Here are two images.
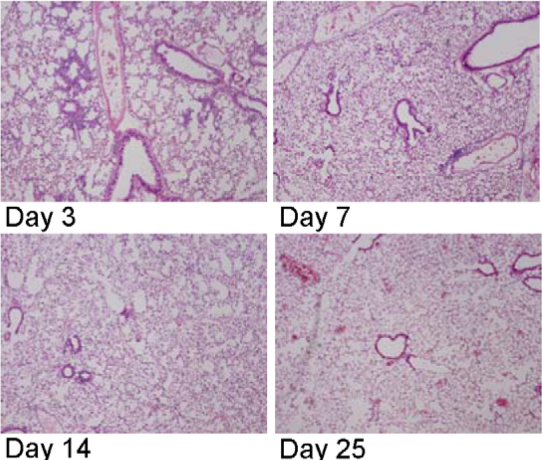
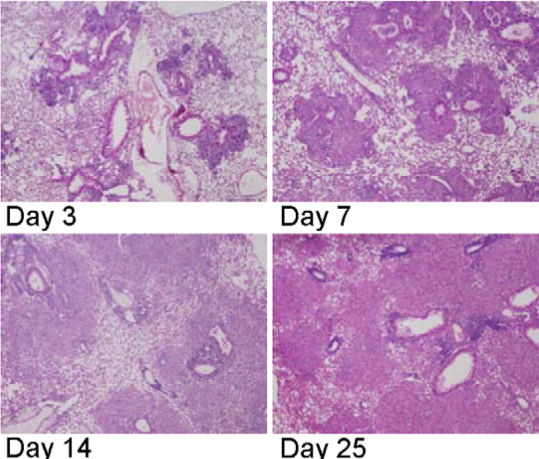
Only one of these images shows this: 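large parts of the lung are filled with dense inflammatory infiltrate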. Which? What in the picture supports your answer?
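First image: alveoli are mostly open, with thin septa and only small cell clusters near airways. Second image: dense purple nodules and broad solid areas fill much of the lung, replacing air spaces. That points to this answer: the second image.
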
